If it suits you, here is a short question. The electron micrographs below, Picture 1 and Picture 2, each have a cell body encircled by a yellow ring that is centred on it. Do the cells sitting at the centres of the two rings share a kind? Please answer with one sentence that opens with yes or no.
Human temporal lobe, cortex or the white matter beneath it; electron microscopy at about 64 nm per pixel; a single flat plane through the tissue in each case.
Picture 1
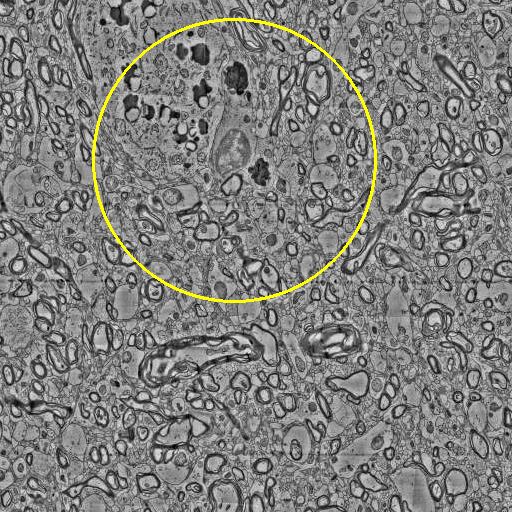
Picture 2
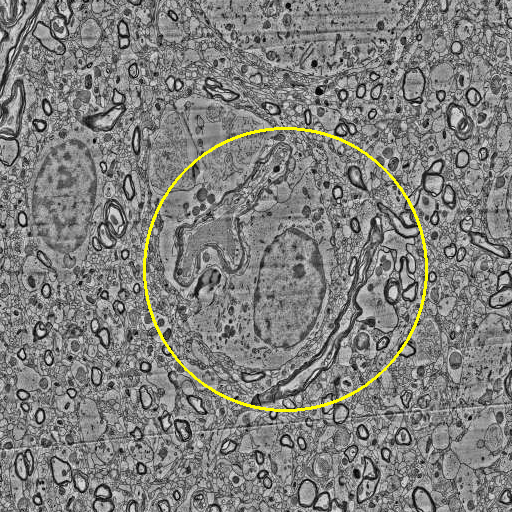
No, the two cells sitting at the ring centres fall into two kinds.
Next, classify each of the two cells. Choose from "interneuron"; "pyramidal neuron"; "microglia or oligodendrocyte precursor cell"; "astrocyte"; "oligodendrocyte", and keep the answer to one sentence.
In the first picture it is an oligodendrocyte; in the second it is a microglial cell or oligodendrocyte precursor cell.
